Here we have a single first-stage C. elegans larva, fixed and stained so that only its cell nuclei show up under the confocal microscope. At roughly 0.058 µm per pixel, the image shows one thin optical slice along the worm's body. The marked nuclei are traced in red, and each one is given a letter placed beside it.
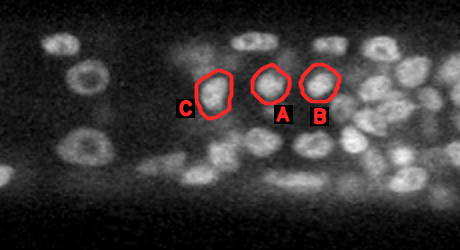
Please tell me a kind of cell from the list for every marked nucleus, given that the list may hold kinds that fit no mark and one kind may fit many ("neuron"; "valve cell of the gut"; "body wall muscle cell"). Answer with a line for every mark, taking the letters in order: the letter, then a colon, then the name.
A: neuron
B: neuron
C: valve cell of the gut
